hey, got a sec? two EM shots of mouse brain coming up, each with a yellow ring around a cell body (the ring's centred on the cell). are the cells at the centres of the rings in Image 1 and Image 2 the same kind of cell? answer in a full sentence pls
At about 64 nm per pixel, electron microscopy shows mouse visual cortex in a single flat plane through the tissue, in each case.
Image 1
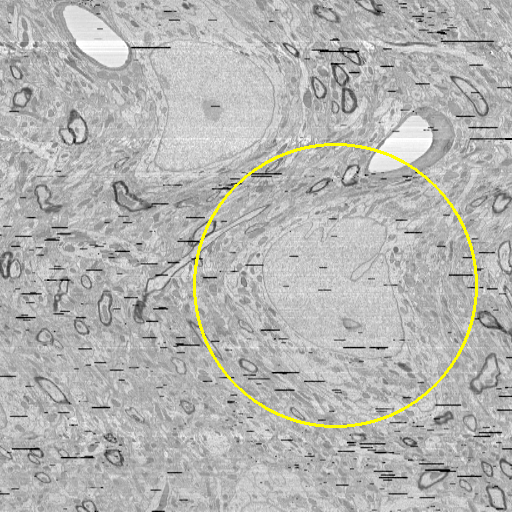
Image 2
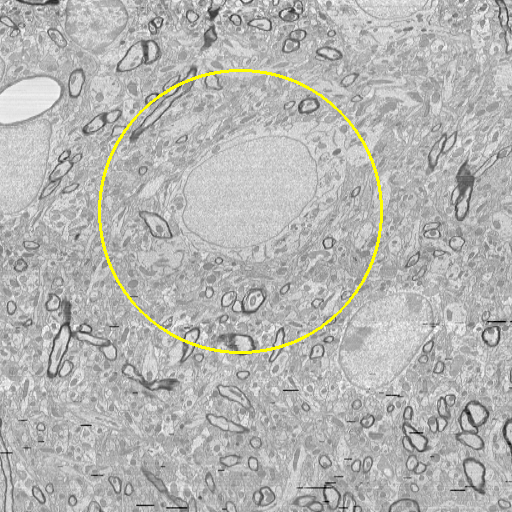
No, they are two kinds of cell.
